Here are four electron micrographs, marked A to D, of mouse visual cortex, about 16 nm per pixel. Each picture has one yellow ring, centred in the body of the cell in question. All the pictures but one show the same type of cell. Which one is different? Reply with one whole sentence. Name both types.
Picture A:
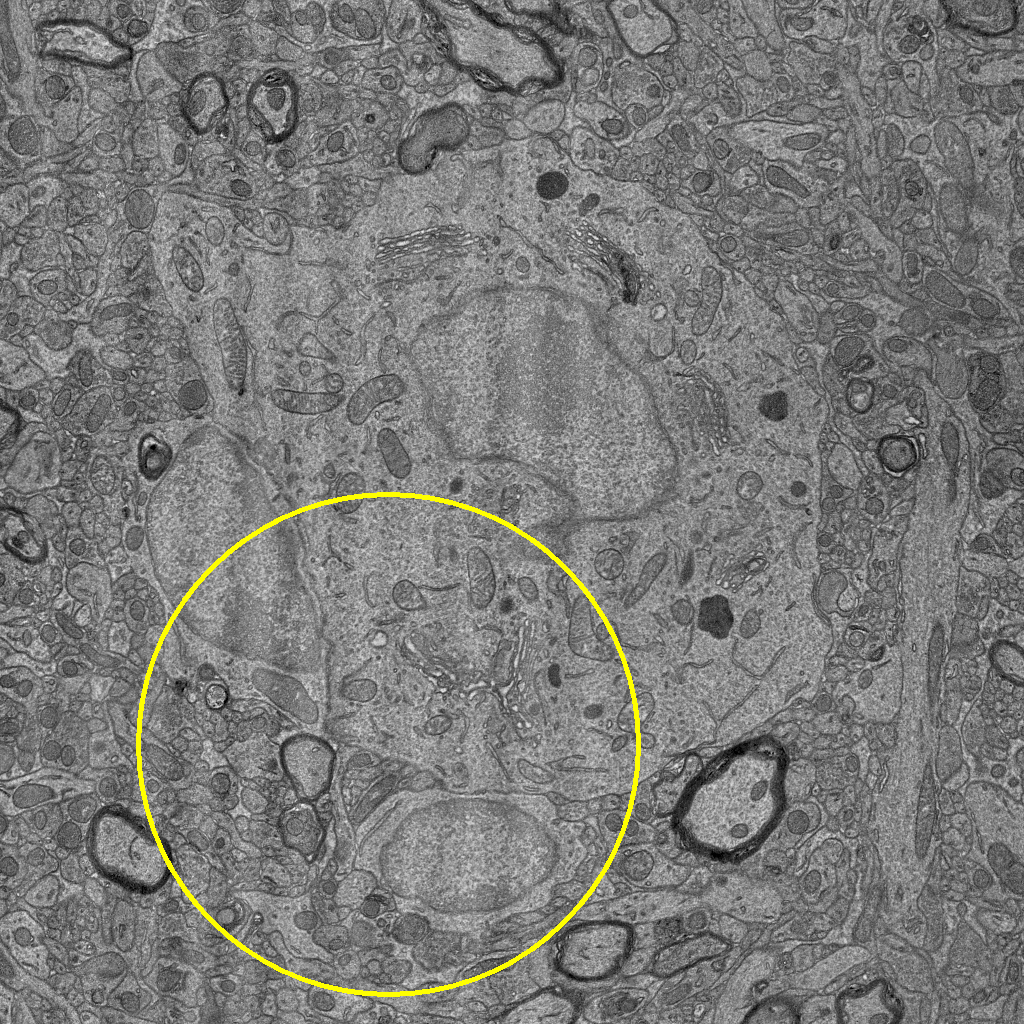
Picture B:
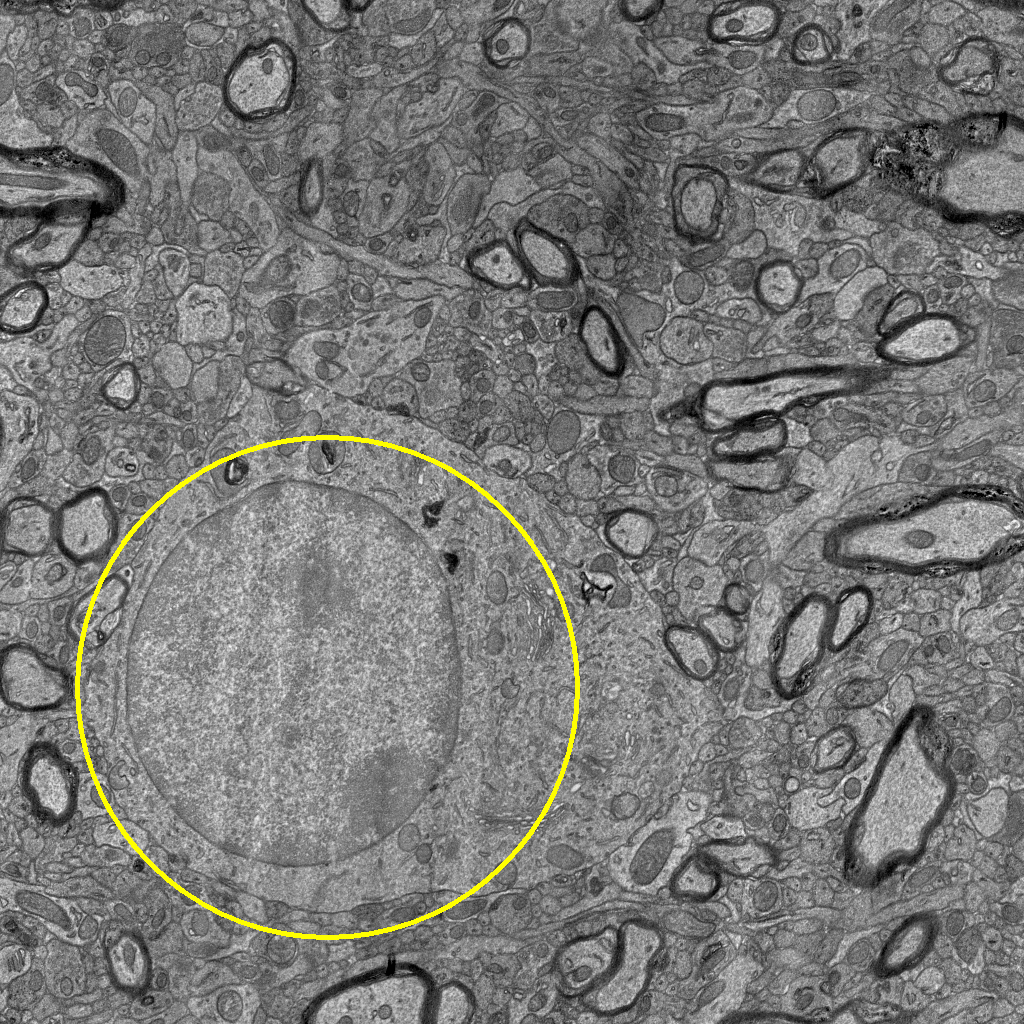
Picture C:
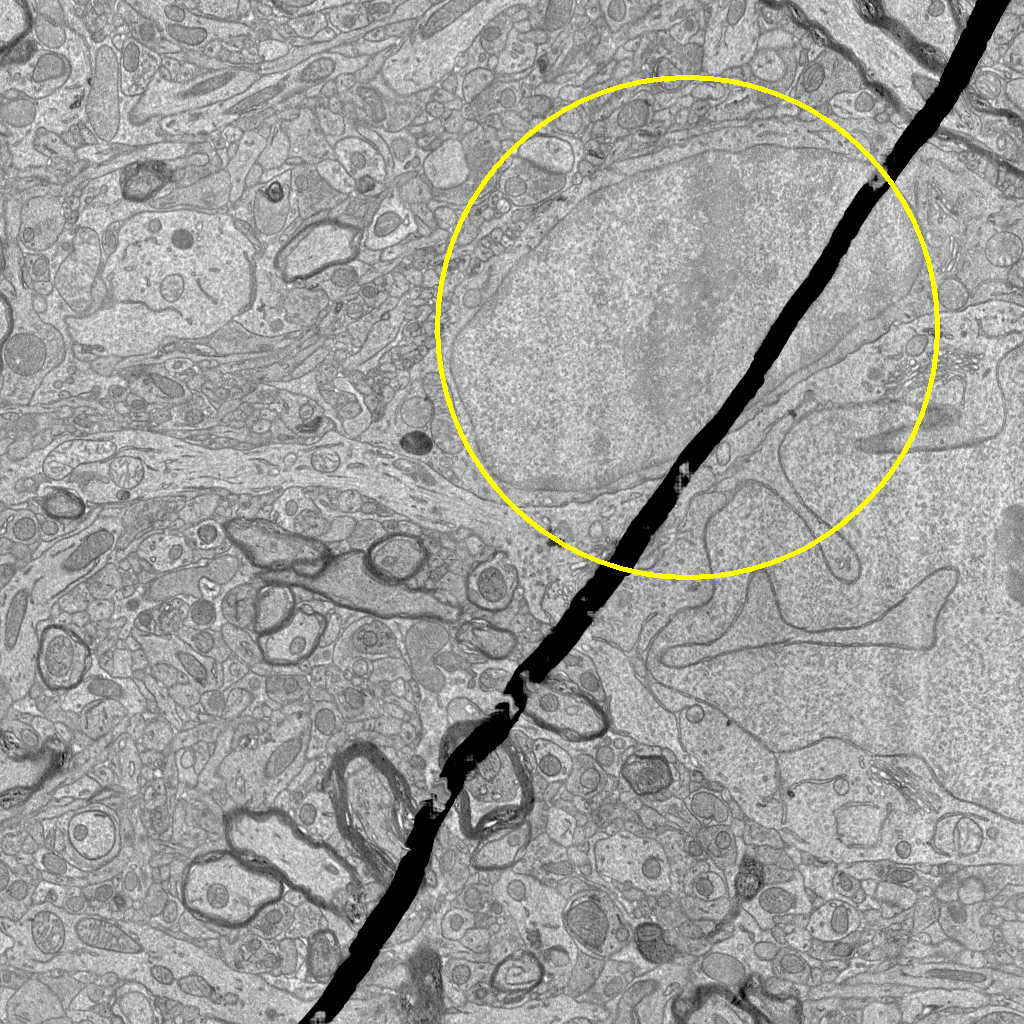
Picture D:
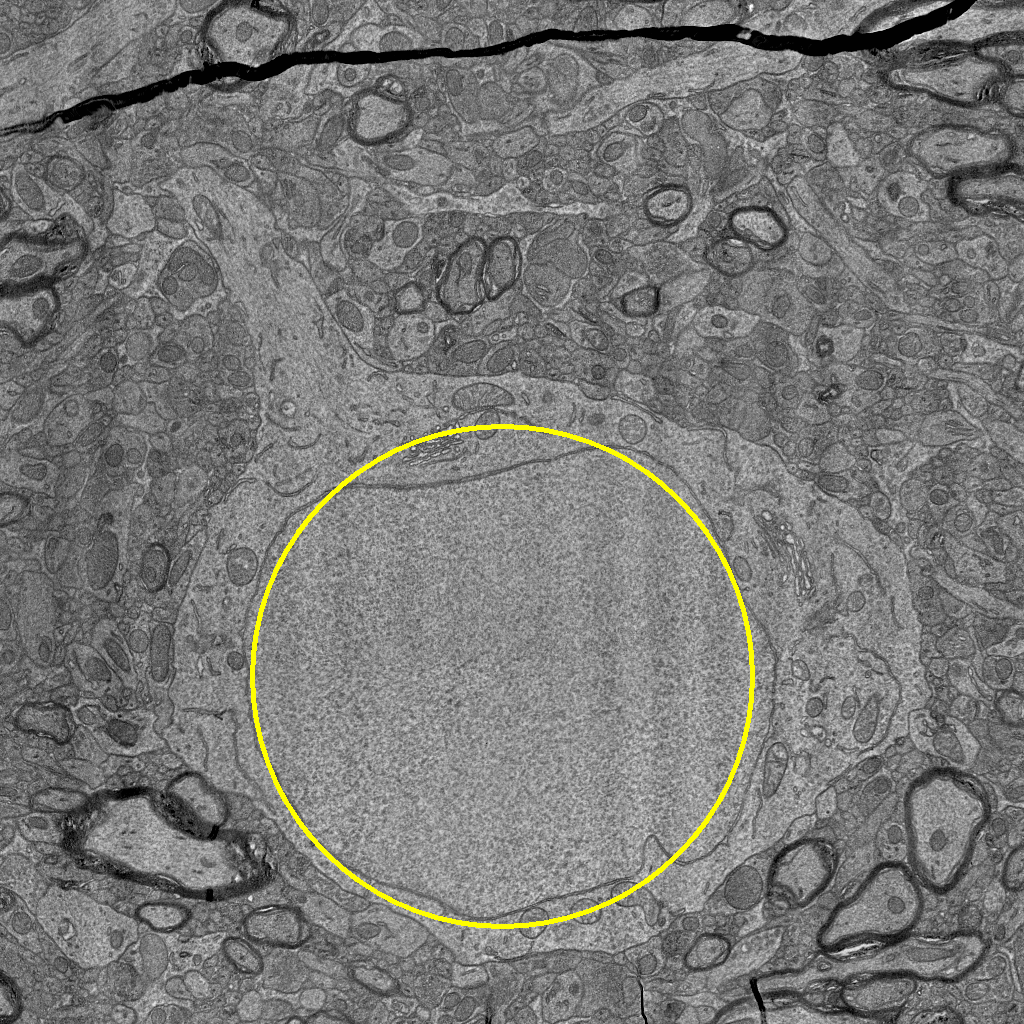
Unlike the rest, which show oligodendrocytes, picture D shows an excitatory neuron.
